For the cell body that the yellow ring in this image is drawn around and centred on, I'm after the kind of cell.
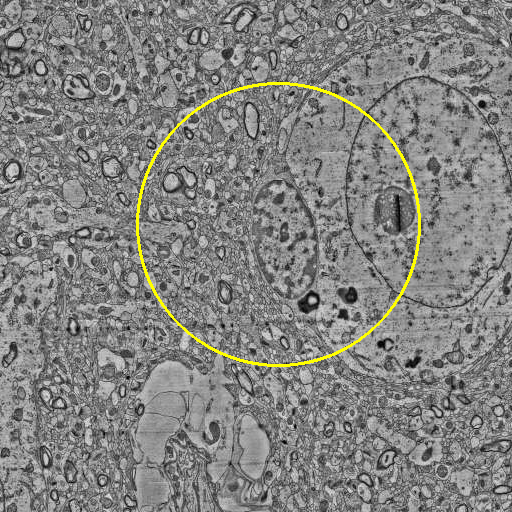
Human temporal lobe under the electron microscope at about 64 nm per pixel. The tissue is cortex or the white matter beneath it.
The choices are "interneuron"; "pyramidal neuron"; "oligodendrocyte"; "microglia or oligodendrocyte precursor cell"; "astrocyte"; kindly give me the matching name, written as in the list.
oligodendrocyte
